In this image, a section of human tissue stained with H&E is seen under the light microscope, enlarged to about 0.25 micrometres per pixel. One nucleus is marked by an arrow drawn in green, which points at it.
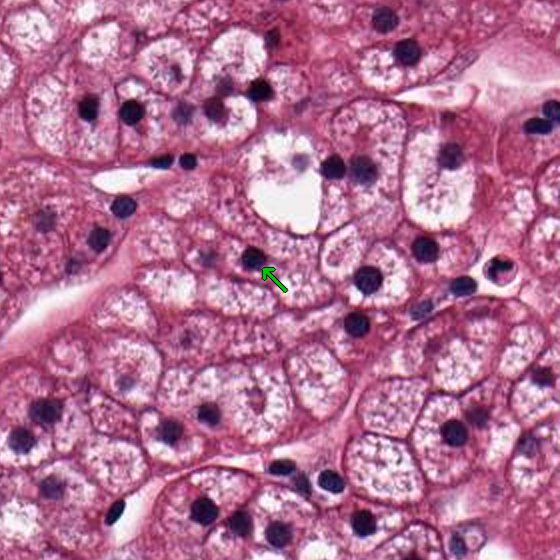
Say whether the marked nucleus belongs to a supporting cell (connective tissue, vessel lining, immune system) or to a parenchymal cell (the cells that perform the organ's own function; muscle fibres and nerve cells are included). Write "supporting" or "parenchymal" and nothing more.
parenchymal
